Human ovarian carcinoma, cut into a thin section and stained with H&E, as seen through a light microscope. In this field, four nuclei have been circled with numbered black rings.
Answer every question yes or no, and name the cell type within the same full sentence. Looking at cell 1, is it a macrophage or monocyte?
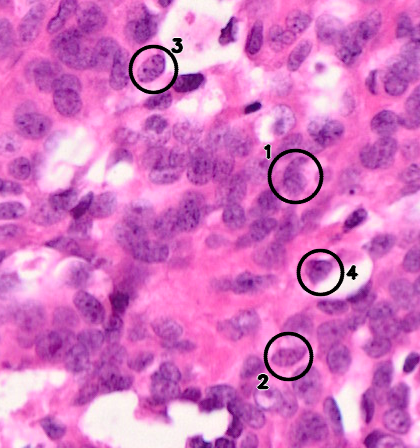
No, cell 1 is classified as a carcinoma cell rather than a macrophage or monocyte.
